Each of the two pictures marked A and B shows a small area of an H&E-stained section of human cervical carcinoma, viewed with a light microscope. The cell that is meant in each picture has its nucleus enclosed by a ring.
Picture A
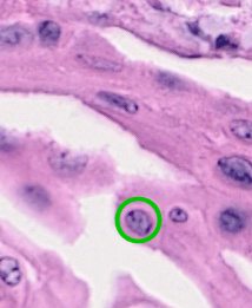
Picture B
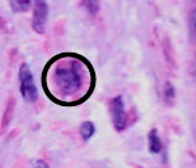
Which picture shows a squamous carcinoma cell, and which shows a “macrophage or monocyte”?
A: squamous carcinoma cell
B: macrophage or monocyte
